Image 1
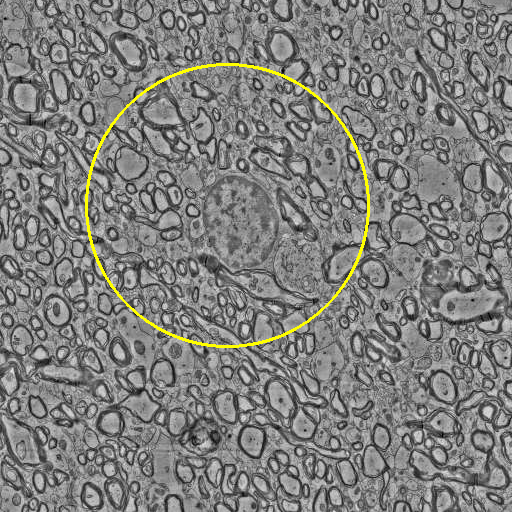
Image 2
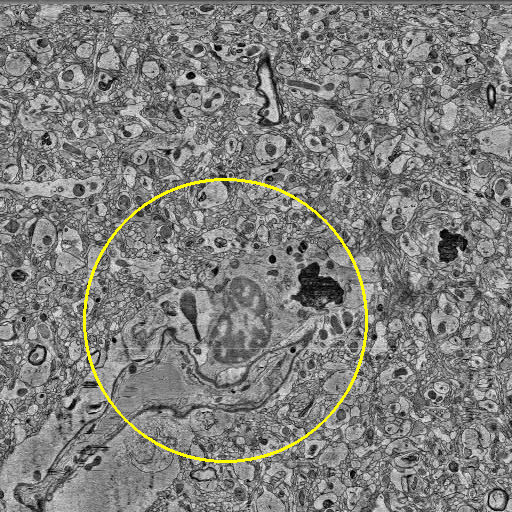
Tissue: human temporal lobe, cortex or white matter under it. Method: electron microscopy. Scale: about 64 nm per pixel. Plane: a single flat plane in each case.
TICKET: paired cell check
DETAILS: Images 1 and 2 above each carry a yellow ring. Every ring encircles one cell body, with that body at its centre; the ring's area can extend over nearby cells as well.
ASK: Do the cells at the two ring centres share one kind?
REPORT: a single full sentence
Yes, the ring-centre cells of Images 1 and 2 belong to a single kind.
